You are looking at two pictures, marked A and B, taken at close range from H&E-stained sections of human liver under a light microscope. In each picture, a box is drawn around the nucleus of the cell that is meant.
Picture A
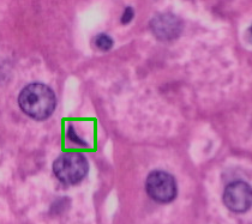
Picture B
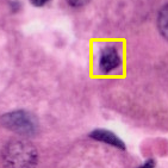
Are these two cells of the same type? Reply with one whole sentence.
No; the cell in picture A is an endothelial cell, while the one in picture B is a “fibroblast or stellate cell”.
